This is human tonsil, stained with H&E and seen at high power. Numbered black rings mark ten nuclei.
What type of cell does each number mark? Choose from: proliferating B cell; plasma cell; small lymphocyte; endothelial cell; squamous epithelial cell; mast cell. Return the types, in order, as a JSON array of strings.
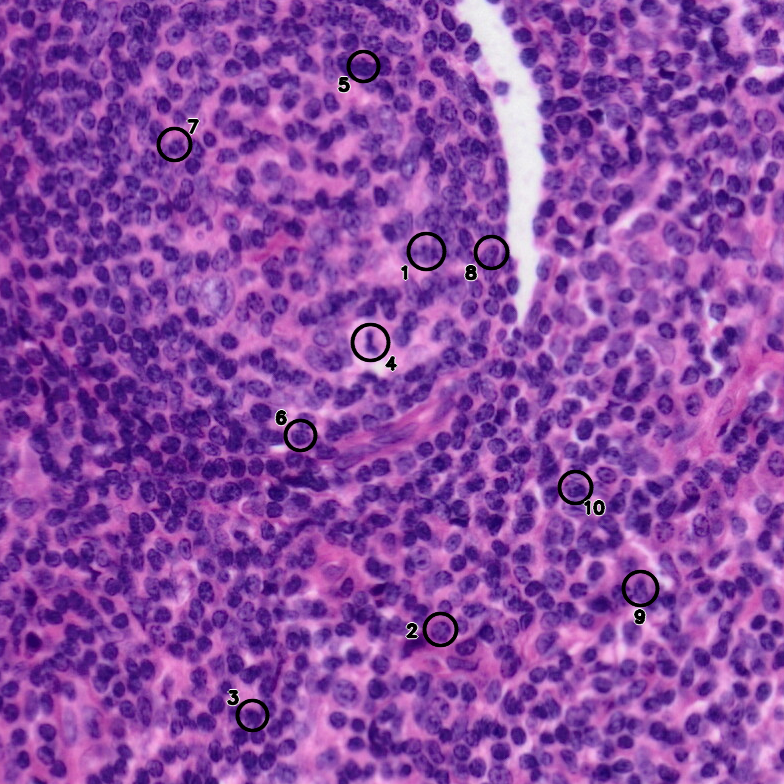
["proliferating B cell", "plasma cell", "small lymphocyte", "proliferating B cell", "small lymphocyte", "small lymphocyte", "small lymphocyte", "small lymphocyte", "plasma cell", "small lymphocyte"]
